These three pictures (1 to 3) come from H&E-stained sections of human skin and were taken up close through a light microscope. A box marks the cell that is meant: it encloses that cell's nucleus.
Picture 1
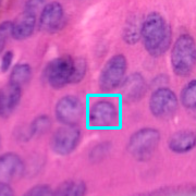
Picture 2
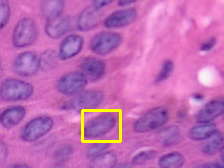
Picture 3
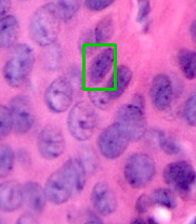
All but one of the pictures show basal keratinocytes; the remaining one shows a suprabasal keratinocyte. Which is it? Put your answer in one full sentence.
The suprabasal keratinocyte is the one in picture 1.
